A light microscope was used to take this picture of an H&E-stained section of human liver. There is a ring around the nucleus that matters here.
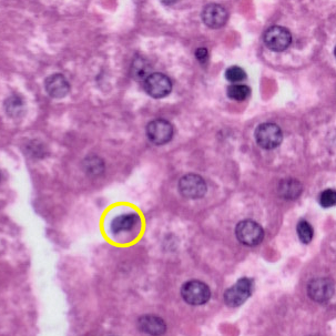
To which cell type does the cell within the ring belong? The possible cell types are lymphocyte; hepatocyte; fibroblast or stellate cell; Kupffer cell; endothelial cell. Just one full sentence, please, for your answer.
Histopathologically, the cell within the ring is an endothelial cell.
